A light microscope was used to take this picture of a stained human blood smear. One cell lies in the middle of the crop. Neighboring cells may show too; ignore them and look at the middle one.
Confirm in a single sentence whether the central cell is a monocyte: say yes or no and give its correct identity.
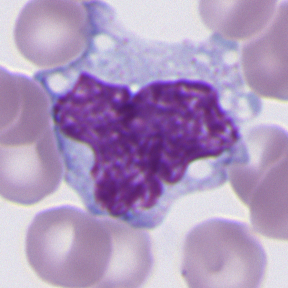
Yes, the cell positioned at the centre of the crop is a monocyte.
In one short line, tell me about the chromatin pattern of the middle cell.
The key point is fine chromatin with no coarse clumps.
